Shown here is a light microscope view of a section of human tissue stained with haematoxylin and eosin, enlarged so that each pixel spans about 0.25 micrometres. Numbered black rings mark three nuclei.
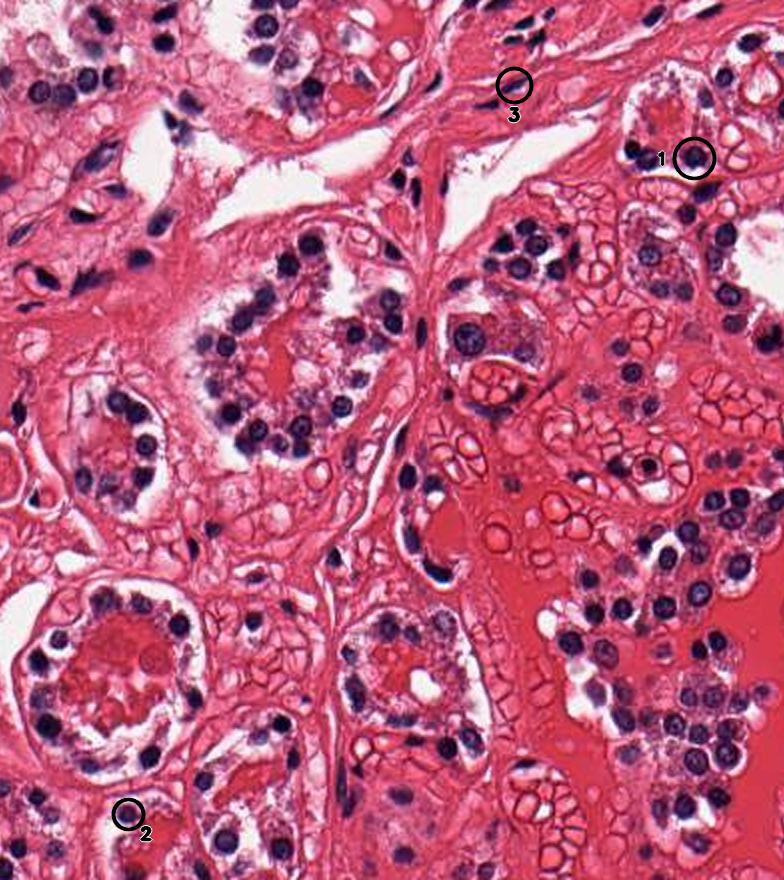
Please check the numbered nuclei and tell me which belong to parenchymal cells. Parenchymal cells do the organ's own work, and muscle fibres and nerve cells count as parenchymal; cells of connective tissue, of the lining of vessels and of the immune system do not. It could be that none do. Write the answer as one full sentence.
What the nuclei numbered 1 and 2 belong to are parenchymal cells.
